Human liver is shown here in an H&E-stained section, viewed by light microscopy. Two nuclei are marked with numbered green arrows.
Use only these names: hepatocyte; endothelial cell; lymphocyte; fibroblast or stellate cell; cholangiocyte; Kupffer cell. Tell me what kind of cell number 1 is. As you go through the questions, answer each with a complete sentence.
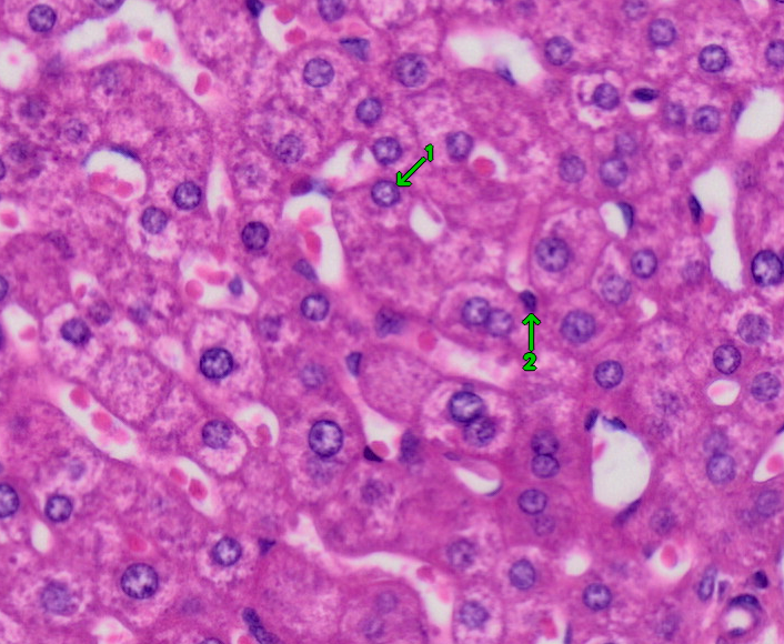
Numbered cell 1 is a hepatocyte in this tissue section.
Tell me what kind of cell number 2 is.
The cell referenced by the number 2 is a fibroblast or stellate cell in this field.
